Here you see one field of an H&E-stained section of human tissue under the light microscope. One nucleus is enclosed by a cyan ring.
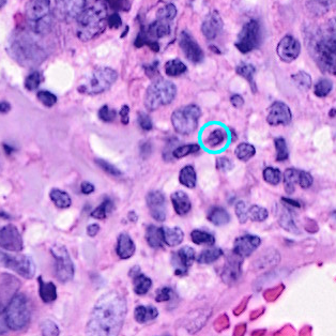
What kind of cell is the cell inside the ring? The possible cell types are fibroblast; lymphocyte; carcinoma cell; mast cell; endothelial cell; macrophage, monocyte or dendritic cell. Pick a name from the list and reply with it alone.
lymphocyte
